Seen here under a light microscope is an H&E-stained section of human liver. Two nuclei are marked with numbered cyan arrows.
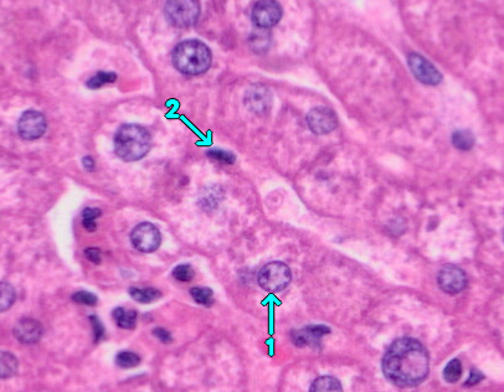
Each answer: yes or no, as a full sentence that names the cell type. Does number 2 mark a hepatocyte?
No, number 2 belongs to an endothelial cell, not to a hepatocyte.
